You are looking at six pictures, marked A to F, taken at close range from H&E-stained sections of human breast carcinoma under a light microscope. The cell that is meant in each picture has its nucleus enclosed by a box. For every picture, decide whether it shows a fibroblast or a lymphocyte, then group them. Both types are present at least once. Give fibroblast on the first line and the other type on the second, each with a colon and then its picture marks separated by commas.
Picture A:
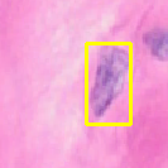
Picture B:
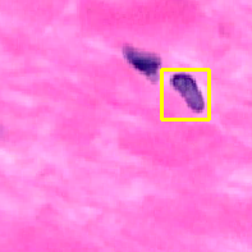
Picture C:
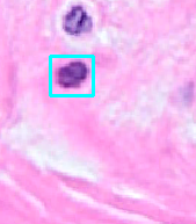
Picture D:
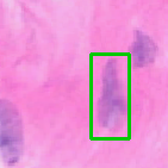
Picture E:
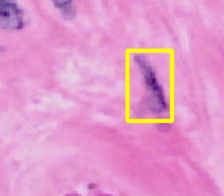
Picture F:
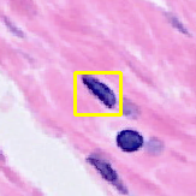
fibroblast: A, D, E
lymphocyte: B, C, F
